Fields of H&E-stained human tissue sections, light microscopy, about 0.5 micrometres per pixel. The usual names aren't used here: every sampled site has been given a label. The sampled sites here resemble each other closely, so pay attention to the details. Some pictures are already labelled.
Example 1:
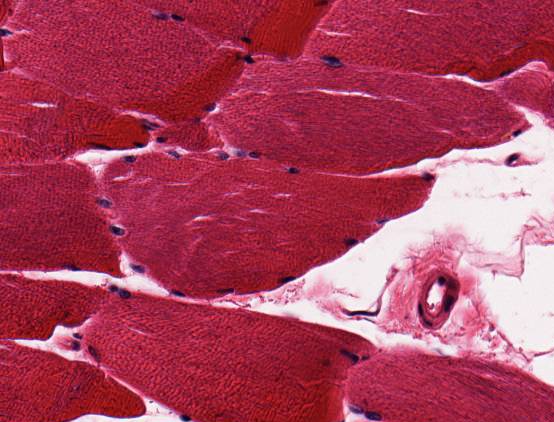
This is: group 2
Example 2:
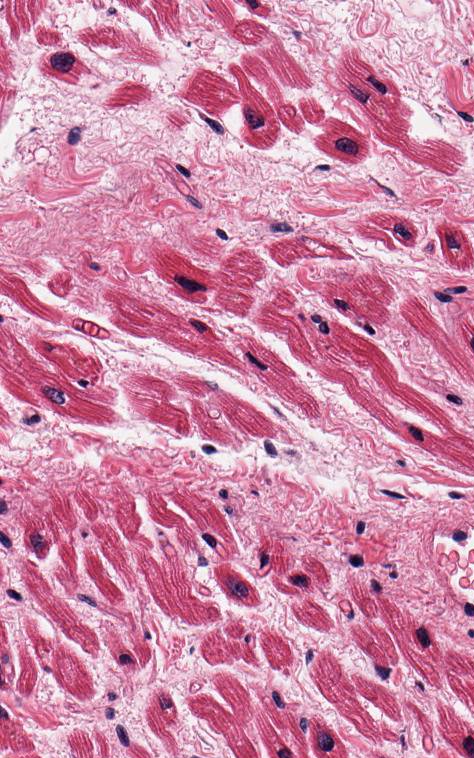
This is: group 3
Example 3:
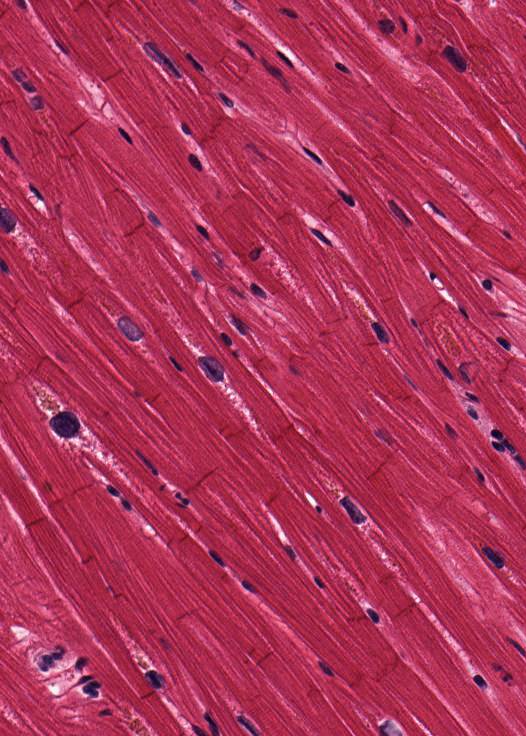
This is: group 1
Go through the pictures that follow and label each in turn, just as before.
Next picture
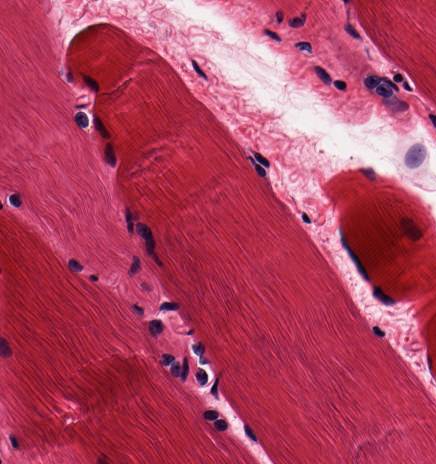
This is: group 2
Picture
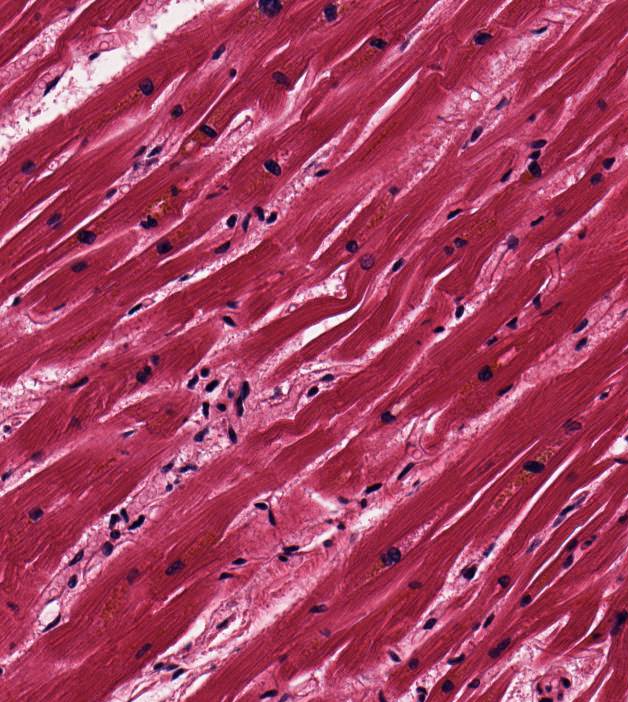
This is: group 1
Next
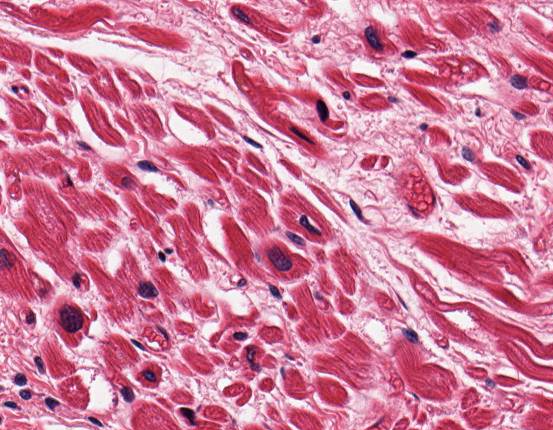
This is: group 3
